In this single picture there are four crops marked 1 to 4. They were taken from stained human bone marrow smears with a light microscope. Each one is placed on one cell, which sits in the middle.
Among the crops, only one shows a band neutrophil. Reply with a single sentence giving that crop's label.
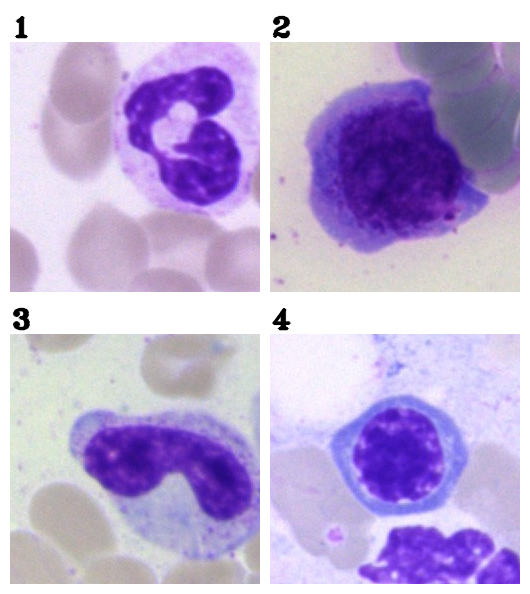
Crop 3 is the one to choose: it shows a band neutrophil.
